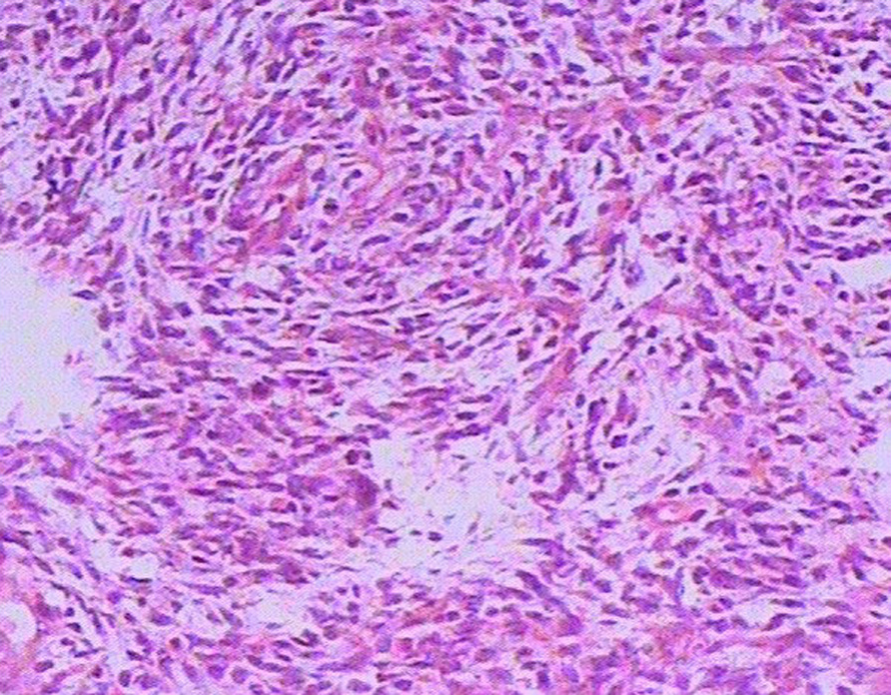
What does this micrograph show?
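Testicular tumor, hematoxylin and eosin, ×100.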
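The nuclei stain dark purple and are mostly elongated, with some shorter and oval. The nuclei sit in pink, fibrillary cytoplasm. Pale, loosely textured areas lie between the cellular swirls.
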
